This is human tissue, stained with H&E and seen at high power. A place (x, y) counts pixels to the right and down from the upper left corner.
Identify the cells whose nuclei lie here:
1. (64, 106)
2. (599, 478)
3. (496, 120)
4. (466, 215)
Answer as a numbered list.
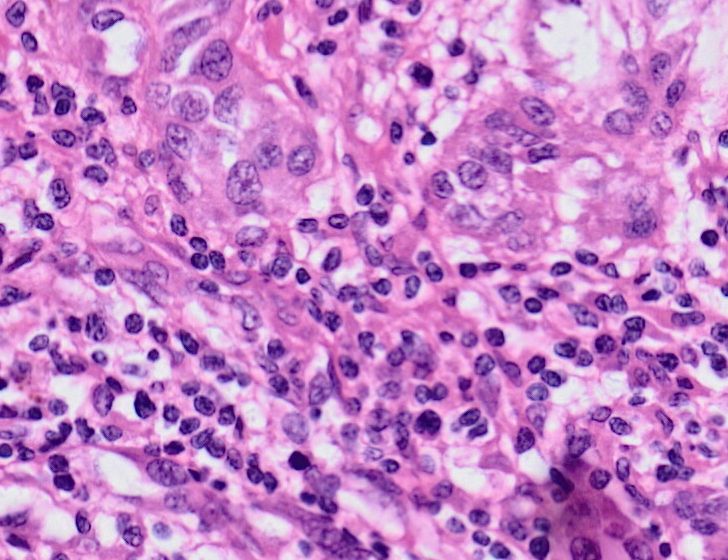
1. lymphocyte
2. lymphocyte
3. melanoma cell
4. melanoma cell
